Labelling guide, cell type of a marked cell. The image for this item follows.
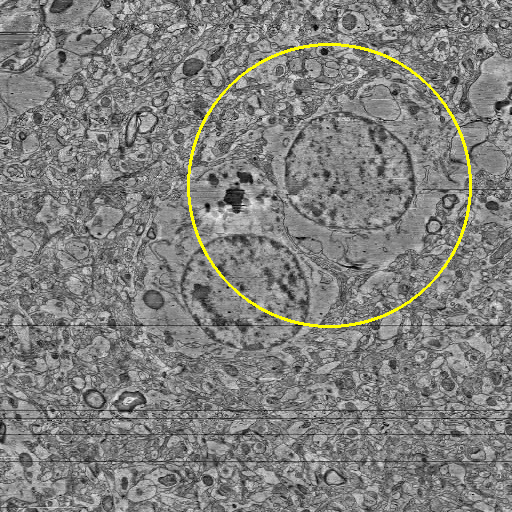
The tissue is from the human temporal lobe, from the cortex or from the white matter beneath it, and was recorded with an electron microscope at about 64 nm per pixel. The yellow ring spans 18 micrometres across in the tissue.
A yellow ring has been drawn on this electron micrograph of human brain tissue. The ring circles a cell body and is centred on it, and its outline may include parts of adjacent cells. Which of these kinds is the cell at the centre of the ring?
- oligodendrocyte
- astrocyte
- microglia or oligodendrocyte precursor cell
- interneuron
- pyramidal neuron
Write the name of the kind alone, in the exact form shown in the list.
astrocyte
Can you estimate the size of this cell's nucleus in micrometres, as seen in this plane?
Roughly 8 micrometres across for the nucleus, in this plane.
